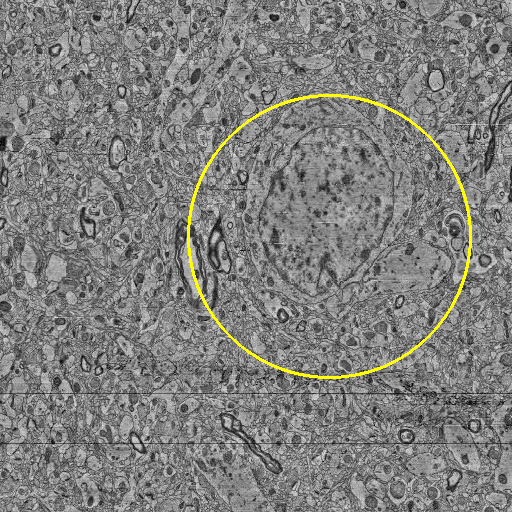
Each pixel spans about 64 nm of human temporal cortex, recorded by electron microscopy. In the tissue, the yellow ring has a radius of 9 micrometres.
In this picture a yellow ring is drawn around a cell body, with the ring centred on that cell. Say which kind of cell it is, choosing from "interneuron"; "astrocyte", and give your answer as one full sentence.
Here it is an interneuron that sits at the centre of the drawn yellow ring.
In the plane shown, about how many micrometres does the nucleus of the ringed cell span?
In this plane the nucleus measures roughly 11 by 8 micrometers.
